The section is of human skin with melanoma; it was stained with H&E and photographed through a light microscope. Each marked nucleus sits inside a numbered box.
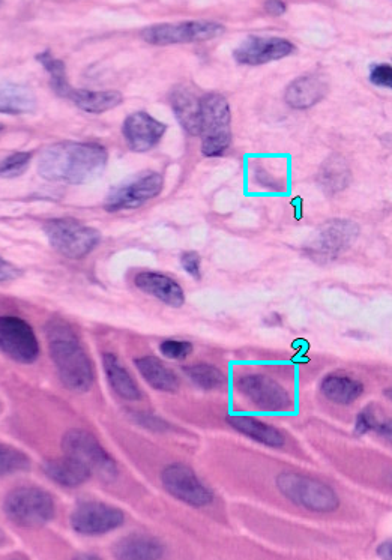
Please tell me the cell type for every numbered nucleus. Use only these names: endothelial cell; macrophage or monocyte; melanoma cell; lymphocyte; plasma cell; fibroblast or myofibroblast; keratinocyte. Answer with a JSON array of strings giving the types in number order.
["fibroblast or myofibroblast", "keratinocyte"]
